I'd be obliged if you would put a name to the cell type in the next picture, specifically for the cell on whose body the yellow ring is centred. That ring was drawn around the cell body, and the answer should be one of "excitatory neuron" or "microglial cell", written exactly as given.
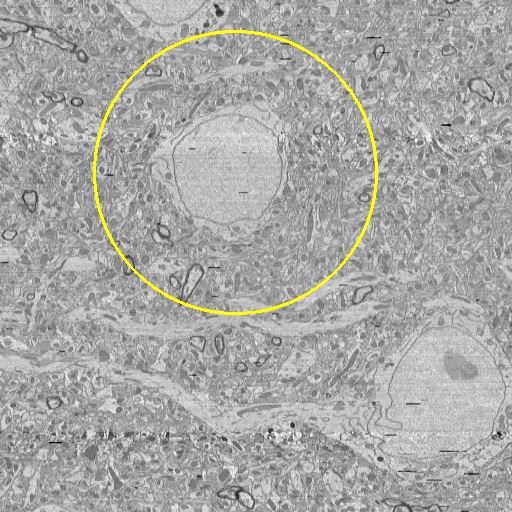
excitatory neuron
